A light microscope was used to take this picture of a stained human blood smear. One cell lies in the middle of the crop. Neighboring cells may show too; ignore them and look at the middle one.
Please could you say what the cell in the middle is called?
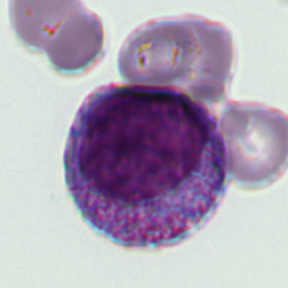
myelocyte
